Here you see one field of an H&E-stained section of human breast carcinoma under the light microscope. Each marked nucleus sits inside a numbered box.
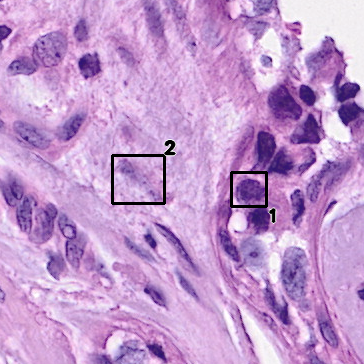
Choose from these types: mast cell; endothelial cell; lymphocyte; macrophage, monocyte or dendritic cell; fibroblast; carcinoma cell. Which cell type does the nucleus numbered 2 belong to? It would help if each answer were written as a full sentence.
The cell tagged with 2 in this tissue section is a fibroblast.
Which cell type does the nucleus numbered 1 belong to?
The cell that bears the number 1 is a carcinoma cell.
